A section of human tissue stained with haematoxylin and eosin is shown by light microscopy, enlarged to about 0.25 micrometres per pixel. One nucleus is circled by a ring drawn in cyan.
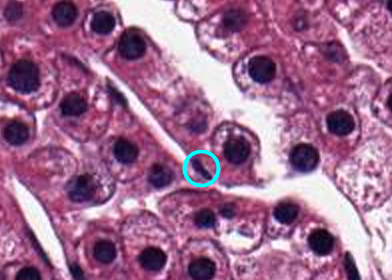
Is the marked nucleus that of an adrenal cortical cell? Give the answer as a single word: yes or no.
no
